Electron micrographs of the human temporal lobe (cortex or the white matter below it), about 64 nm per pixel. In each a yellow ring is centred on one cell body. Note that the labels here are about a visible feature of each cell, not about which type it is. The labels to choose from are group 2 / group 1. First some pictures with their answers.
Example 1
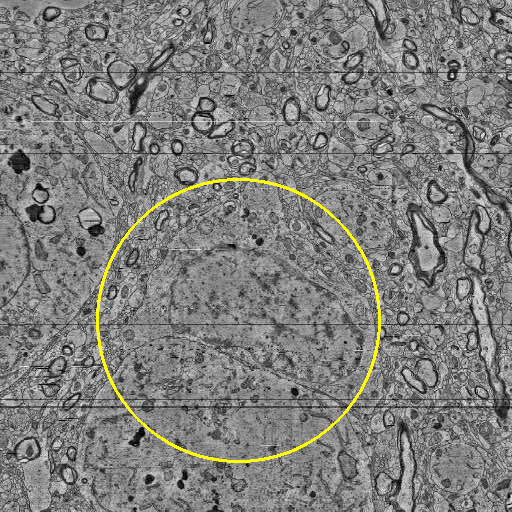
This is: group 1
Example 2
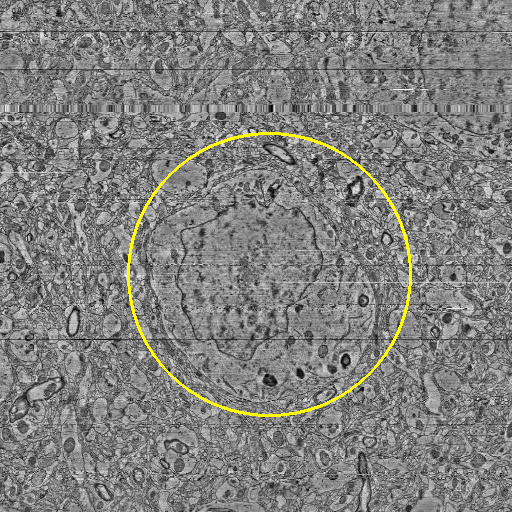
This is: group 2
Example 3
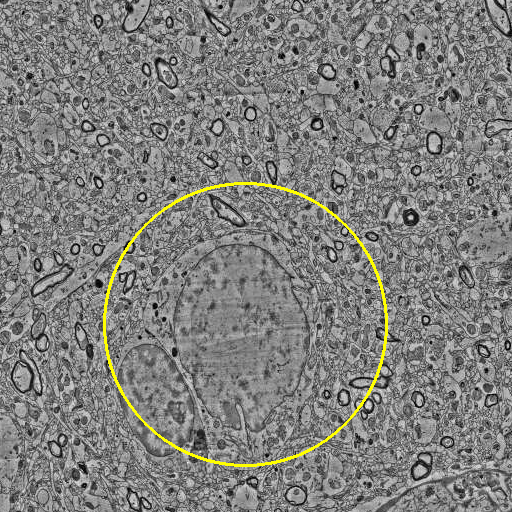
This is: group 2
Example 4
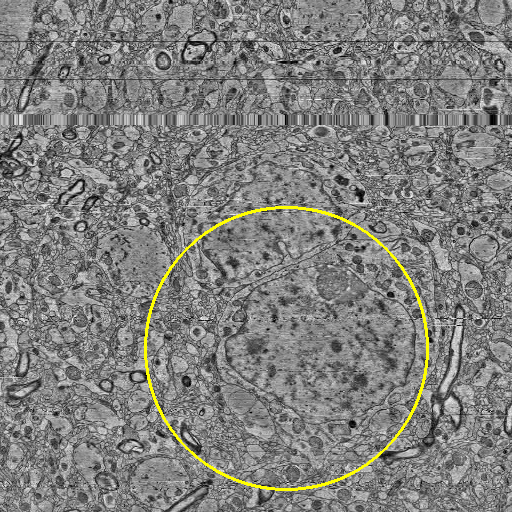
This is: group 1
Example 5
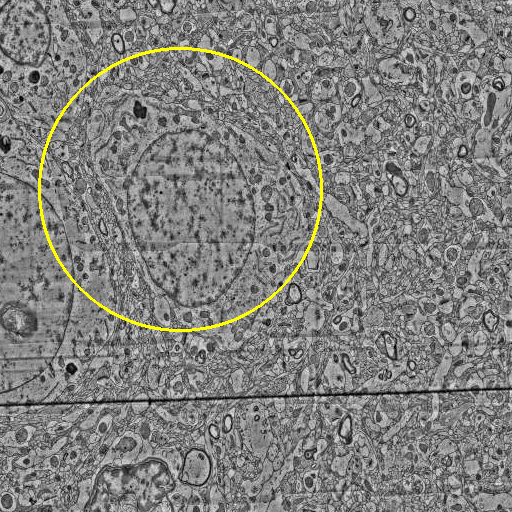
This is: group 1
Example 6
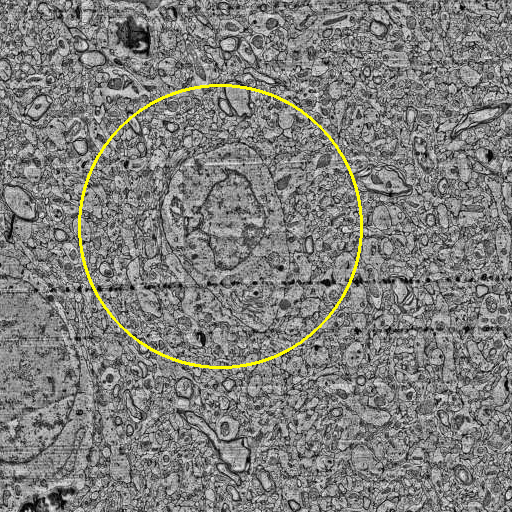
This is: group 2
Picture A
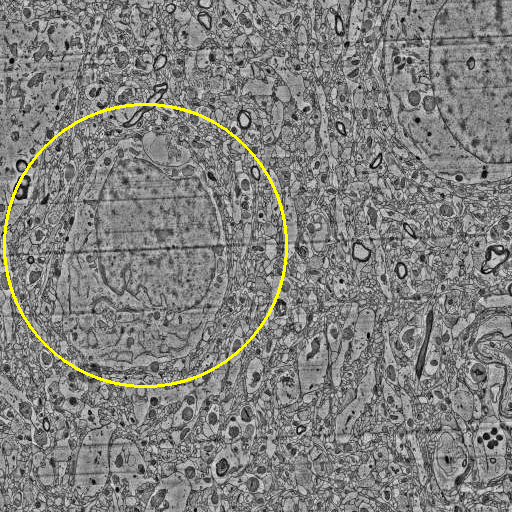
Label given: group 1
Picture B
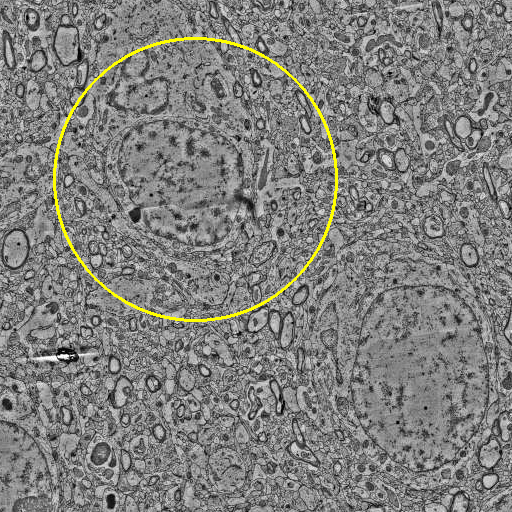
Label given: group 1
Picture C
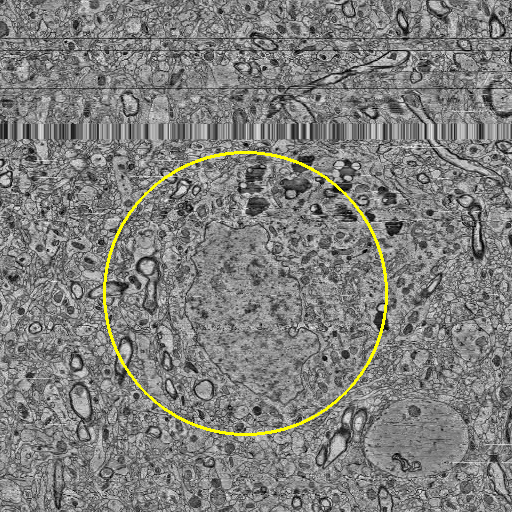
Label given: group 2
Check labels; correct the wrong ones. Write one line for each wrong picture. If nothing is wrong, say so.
A: group 2, not group 1
B: group 2, not group 1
